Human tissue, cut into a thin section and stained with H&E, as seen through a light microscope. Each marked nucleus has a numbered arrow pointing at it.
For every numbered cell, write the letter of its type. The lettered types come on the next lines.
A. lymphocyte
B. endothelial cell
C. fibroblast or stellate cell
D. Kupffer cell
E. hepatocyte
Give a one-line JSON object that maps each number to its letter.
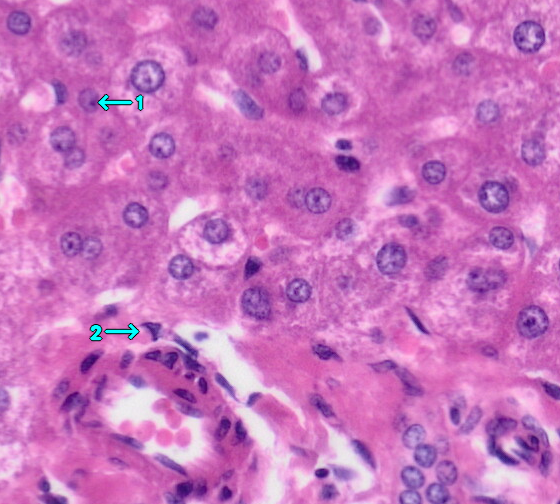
{"1": "E", "2": "C"}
